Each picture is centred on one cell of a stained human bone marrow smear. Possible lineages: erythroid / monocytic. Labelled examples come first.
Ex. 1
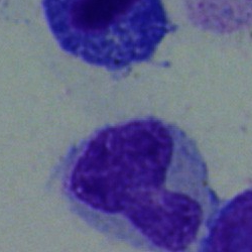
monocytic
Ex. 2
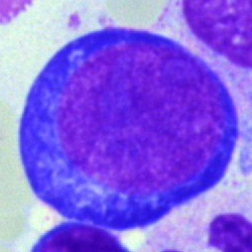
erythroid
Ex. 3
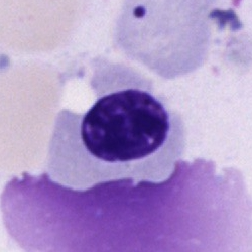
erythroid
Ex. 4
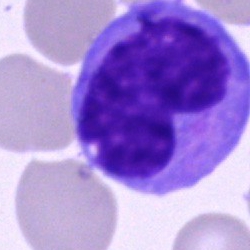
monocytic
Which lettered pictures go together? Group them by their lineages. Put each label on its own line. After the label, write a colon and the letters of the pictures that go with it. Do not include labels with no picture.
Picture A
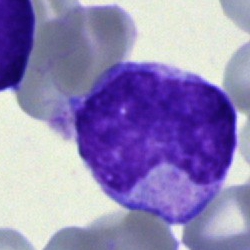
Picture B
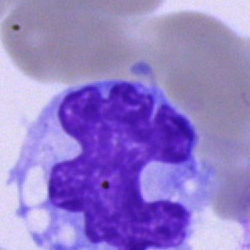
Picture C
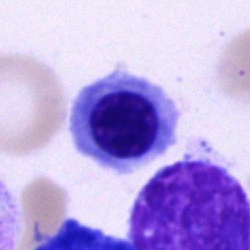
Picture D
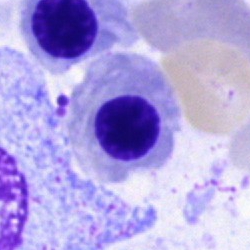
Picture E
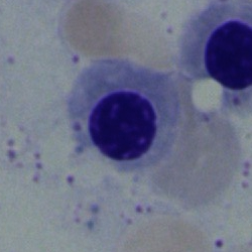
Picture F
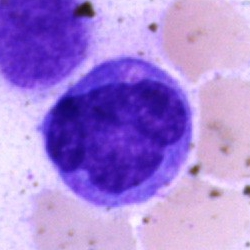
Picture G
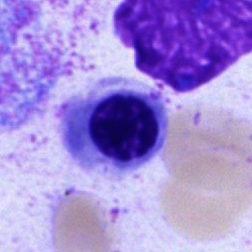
erythroid: C, D, E, G
monocytic: A, B, F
